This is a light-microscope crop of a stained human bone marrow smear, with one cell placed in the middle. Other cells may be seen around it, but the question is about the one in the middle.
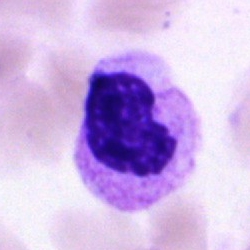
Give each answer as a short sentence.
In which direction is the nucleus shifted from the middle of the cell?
Toward the upper left of the cell lies its nucleus.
